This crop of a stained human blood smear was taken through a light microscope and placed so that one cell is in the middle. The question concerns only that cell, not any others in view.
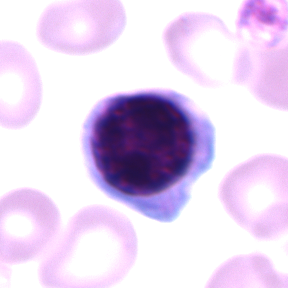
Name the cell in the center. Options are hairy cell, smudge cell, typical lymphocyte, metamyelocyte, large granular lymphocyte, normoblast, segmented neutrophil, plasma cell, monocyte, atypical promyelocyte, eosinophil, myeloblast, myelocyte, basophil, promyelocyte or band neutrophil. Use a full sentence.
What sits at the centre of this crop is a normoblast.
